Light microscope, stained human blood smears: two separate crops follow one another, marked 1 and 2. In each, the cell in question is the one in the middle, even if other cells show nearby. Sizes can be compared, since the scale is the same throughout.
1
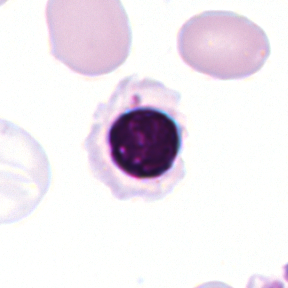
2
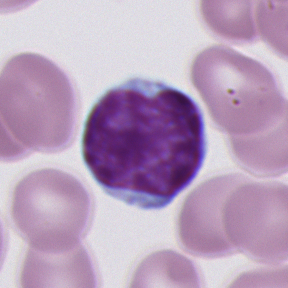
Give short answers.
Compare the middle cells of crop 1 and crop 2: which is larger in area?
2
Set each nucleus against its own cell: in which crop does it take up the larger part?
2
